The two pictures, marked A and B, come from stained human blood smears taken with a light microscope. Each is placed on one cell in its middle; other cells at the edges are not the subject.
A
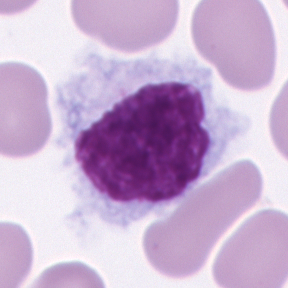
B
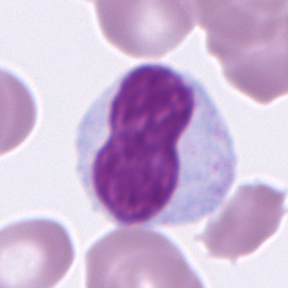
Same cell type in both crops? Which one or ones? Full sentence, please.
No, in crop A the cell is a hairy cell, and in crop B it is a large granular lymphocyte.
